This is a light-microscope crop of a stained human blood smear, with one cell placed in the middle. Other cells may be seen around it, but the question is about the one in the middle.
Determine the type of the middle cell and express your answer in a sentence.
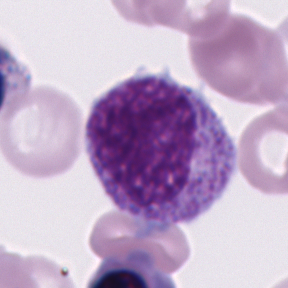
The cell in the middle of the field of view is a myelocyte.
